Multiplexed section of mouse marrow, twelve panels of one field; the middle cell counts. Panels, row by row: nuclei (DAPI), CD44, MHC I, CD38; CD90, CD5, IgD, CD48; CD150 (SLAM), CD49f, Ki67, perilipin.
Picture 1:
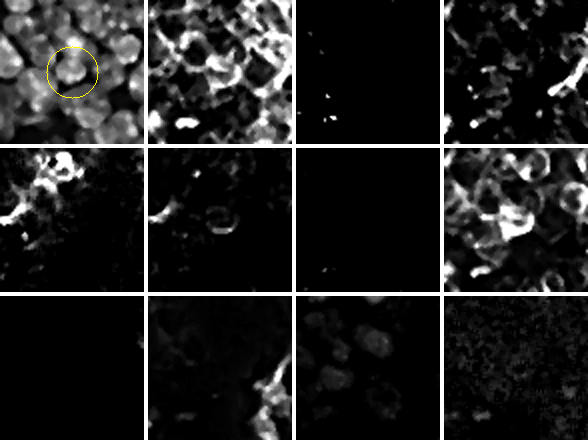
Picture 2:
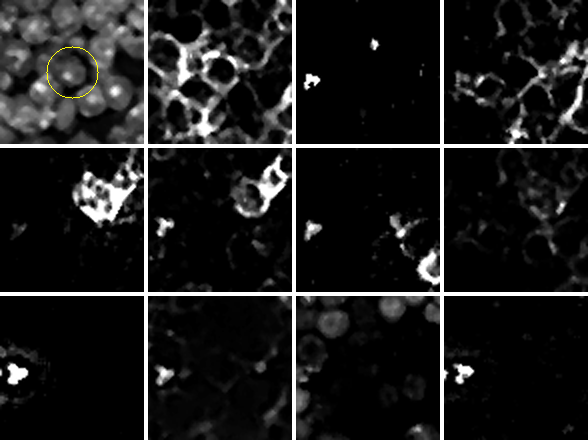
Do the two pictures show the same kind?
No: a monocyte, then a neutrophil.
